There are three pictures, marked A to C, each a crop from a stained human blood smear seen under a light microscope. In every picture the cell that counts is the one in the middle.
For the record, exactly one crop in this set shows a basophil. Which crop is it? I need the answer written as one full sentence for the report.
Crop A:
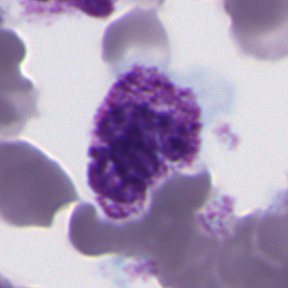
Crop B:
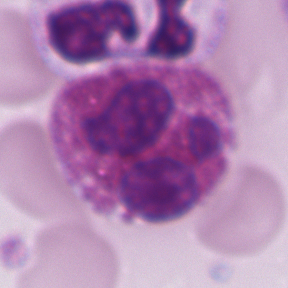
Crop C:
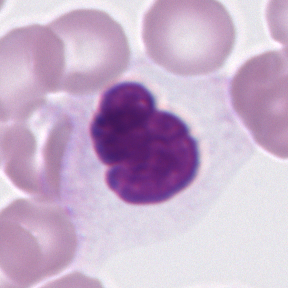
The crop with a basophil at its center is crop A.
